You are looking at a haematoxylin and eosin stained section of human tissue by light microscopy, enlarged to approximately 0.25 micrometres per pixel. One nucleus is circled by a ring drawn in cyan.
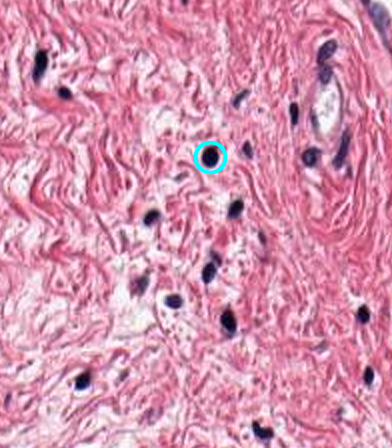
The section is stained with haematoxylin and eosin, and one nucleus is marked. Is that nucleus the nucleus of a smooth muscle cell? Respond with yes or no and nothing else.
no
